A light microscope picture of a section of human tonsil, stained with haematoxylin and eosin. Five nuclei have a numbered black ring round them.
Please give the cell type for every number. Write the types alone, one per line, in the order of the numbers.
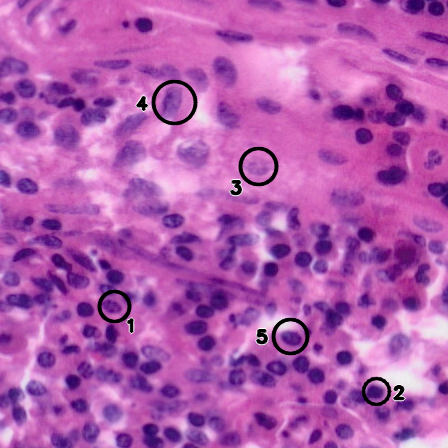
plasma cell
plasma cell
squamous epithelial cell
squamous epithelial cell
plasma cell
